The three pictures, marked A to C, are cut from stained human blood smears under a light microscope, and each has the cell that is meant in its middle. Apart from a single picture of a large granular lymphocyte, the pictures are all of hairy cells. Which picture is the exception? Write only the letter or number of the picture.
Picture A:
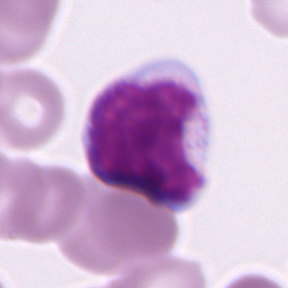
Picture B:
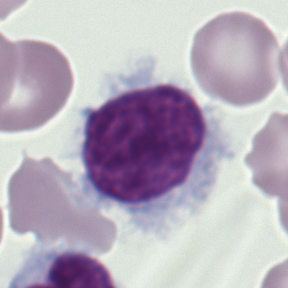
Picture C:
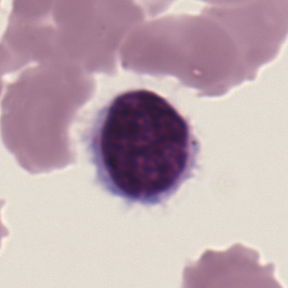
A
